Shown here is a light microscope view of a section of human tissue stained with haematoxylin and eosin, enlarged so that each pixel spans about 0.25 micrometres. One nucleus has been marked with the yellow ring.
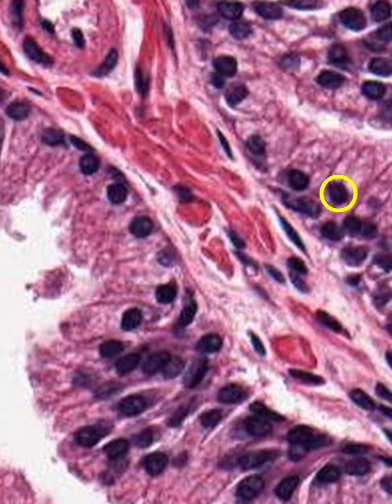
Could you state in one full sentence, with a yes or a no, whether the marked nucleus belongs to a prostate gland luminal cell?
Yes, the nucleus picked out by the mark belongs to a prostate gland luminal cell.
